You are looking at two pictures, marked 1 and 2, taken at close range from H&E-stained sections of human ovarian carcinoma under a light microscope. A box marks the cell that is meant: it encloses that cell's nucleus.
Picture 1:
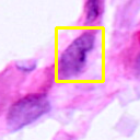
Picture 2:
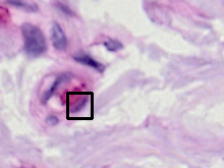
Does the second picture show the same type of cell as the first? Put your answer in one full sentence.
Yes, both are endothelial cells.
